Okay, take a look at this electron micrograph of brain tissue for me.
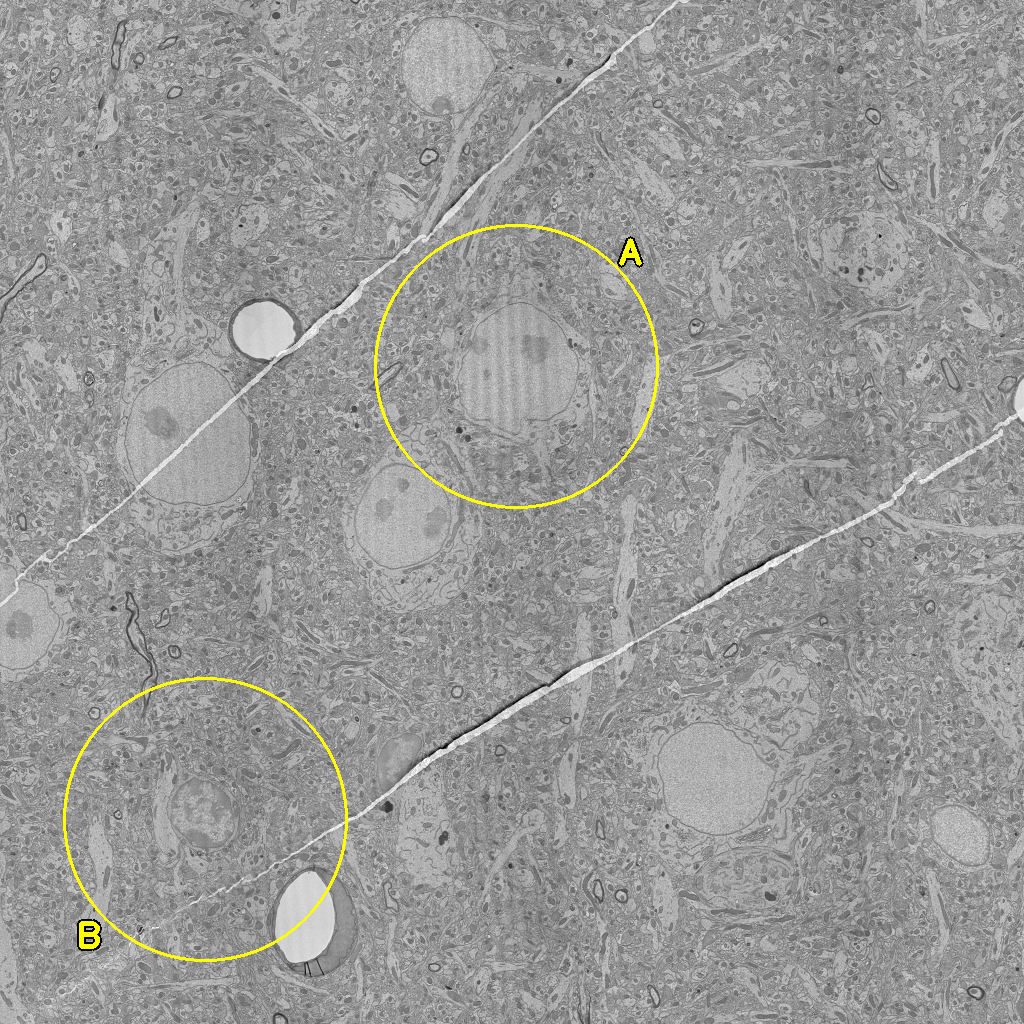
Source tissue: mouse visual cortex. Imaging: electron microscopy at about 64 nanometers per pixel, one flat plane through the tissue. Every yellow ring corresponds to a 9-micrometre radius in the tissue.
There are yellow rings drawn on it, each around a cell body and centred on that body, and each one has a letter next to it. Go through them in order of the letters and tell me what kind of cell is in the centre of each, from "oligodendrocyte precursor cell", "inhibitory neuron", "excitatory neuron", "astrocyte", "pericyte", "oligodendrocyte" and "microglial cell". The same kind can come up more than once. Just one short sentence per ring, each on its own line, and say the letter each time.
In the centre of ring A there's an excitatory neuron.
In the centre of ring B there's an oligodendrocyte.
